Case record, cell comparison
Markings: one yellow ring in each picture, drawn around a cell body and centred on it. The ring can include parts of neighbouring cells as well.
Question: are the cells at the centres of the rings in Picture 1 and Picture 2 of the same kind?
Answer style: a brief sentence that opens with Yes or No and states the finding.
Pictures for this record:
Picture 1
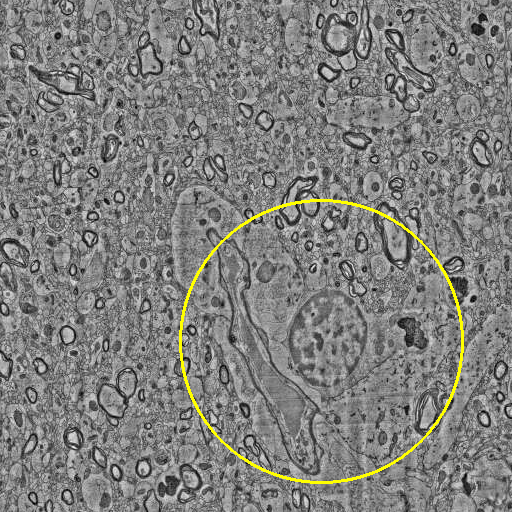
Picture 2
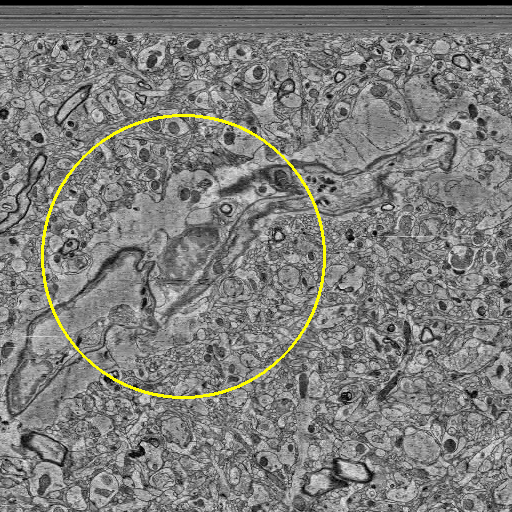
Yes, the cells in Picture 1 and Picture 2 are of the same kind.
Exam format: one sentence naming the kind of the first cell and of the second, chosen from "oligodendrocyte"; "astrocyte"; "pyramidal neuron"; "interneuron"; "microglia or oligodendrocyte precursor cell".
The first and the second cell are each an oligodendrocyte.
